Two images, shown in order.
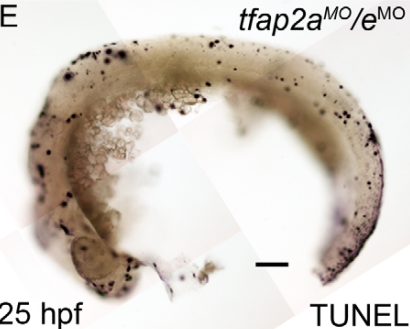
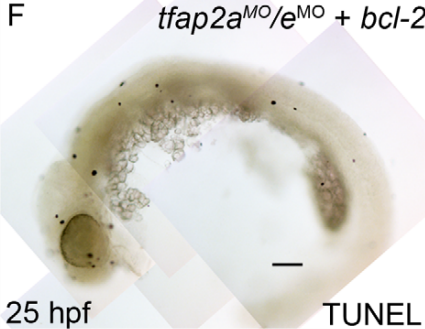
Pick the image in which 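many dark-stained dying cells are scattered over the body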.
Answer: the first image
